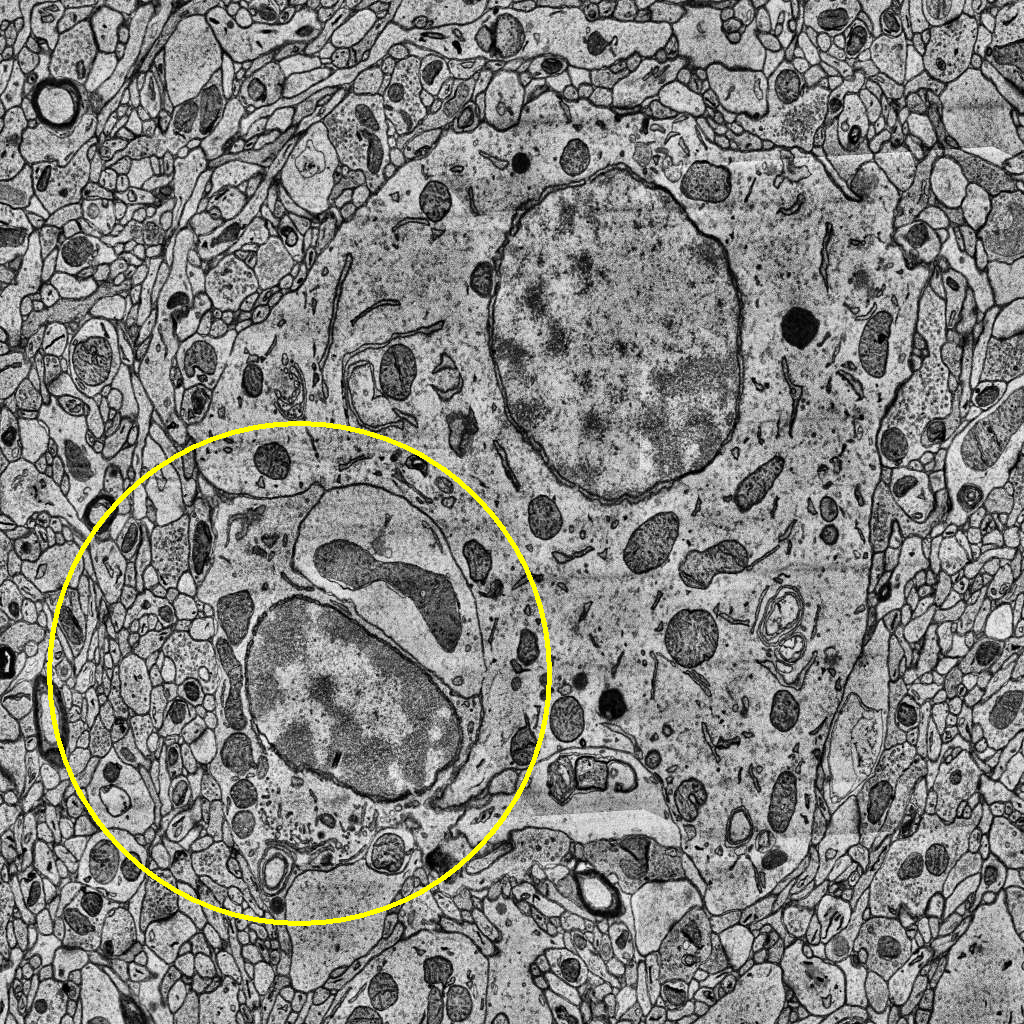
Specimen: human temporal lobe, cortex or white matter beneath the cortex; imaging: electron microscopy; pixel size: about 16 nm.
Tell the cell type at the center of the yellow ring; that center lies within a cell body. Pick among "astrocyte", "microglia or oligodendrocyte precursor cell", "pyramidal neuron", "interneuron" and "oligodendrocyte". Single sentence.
The ring's center lies in the body of a microglial cell or oligodendrocyte precursor cell.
